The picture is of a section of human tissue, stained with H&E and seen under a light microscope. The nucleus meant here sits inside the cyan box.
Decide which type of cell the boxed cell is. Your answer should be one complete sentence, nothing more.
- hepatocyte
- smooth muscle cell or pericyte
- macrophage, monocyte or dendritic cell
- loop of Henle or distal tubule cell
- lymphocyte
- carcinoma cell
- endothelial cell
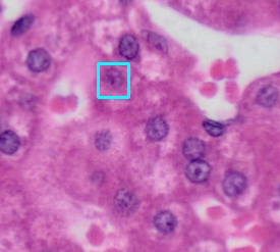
Histopathologically, the boxed cell is a hepatocyte.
